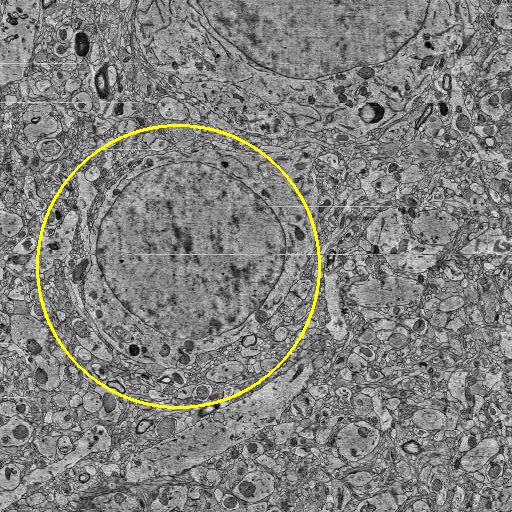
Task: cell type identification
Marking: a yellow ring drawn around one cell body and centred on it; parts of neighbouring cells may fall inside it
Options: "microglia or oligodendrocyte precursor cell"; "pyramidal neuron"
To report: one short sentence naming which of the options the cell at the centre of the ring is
The cell at the centre of the ring is a pyramidal neuron.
